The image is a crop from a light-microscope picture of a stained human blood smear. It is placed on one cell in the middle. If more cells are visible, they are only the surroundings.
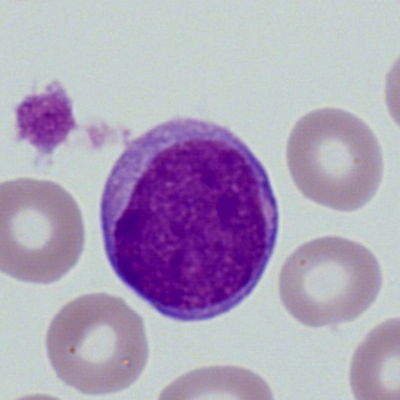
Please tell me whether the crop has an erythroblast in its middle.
no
